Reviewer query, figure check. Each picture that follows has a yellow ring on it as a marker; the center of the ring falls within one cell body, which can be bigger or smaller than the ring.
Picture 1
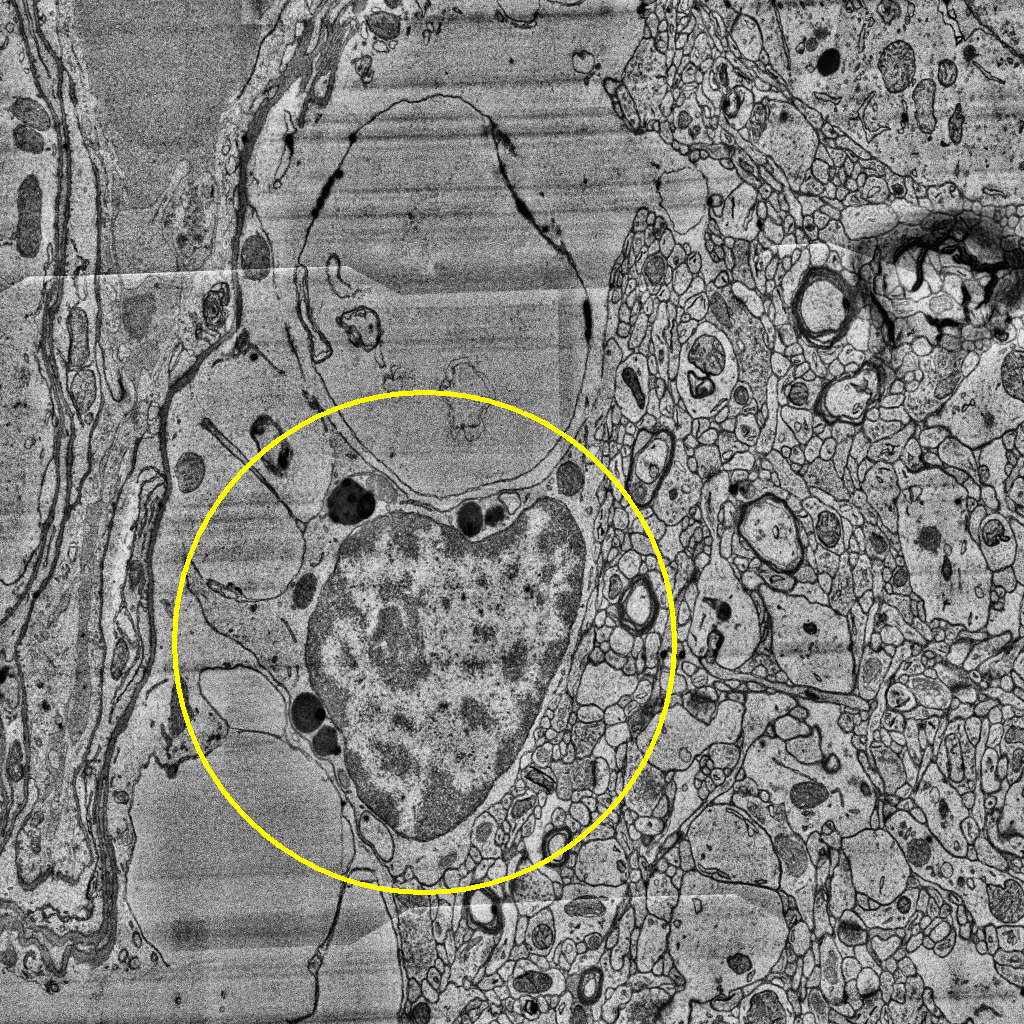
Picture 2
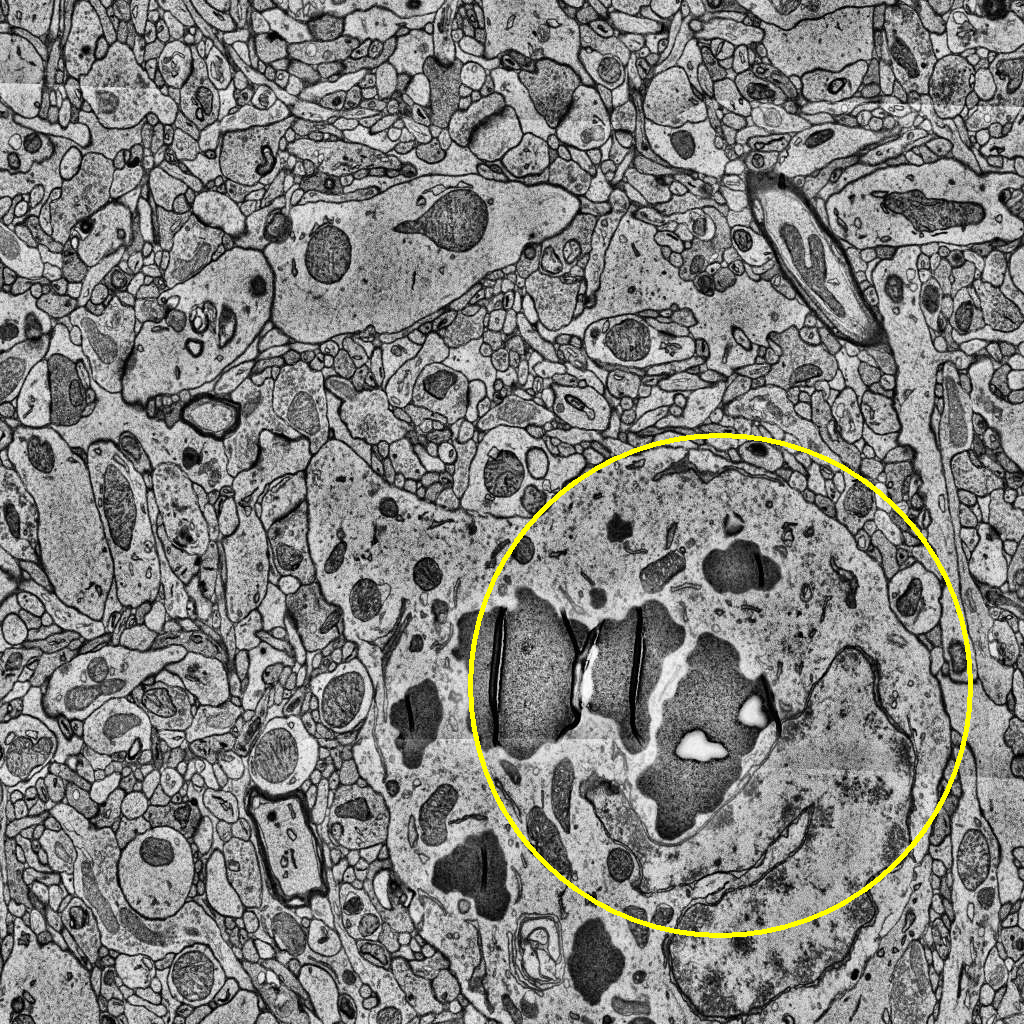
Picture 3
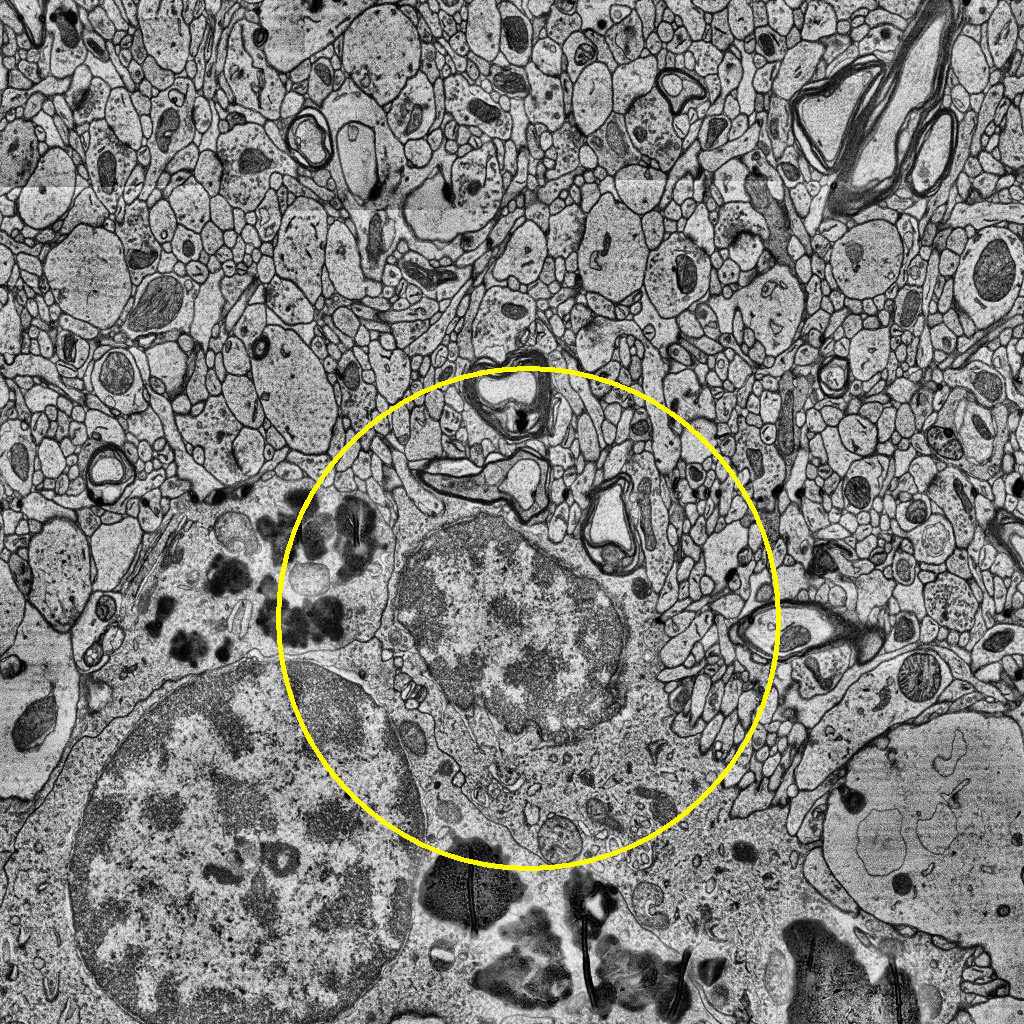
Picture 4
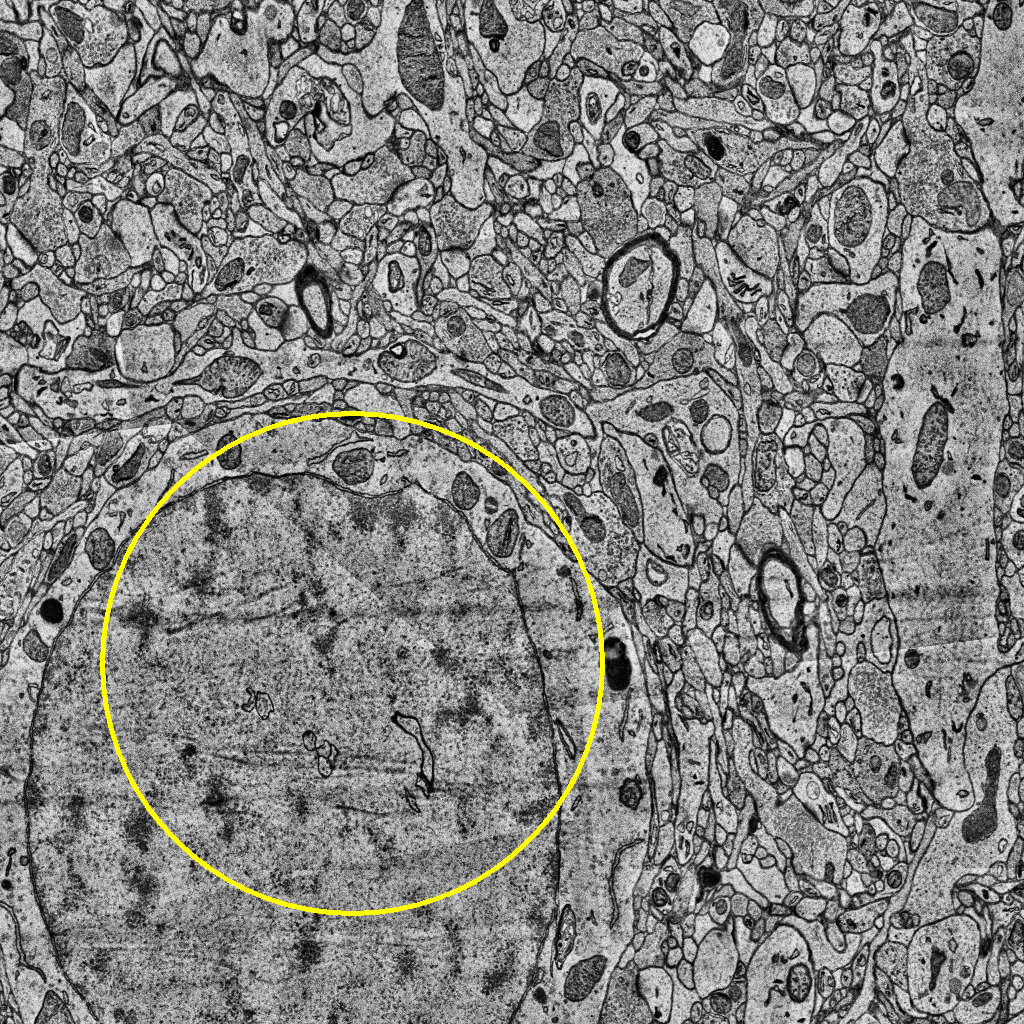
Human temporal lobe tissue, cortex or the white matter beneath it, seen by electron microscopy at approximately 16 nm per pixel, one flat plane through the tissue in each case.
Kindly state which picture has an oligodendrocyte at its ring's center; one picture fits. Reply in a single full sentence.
In picture 3, the cell at the center of the ring is the requested one.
